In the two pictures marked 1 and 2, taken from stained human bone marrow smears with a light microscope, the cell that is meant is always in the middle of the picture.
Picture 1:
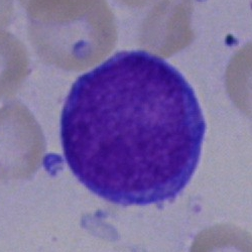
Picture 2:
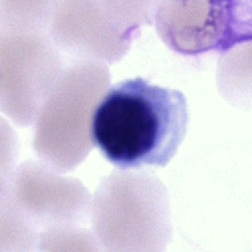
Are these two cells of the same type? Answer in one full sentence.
No, the types are not the same, since picture 1 shows a blast and picture 2 an erythroblast.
